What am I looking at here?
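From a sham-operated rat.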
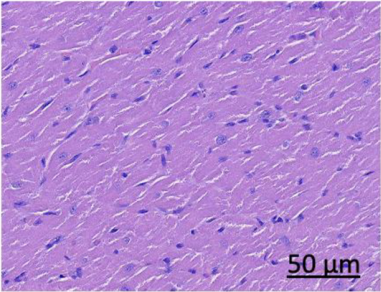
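Here is heart muscle looking calm and orderly. The pink cardiac muscle fibres run in parallel, slightly wavy bundles from one corner toward the other, their cytoplasm evenly stained. Scattered along them are oval, purple nuclei, lying singly within the fibres or in the narrow spaces between them, where slender elongated nuclei of connective tissue cells also sit. Fine white clefts separate neighbouring fibres, most likely from sectioning. There are no clusters of small round cells and no breaks in the fibres, so the muscle shows no crowding of inflammatory cells such as you would look for in injured myocardium.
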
